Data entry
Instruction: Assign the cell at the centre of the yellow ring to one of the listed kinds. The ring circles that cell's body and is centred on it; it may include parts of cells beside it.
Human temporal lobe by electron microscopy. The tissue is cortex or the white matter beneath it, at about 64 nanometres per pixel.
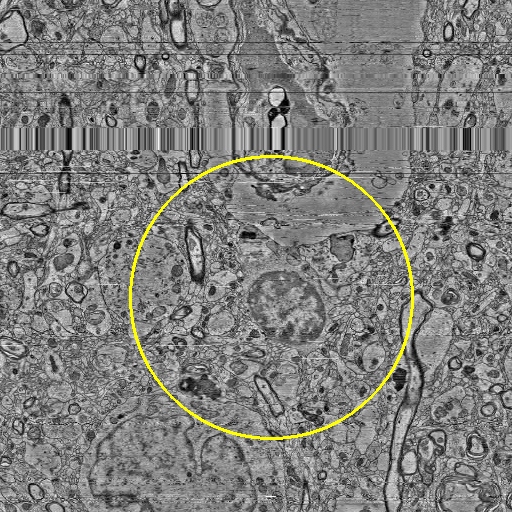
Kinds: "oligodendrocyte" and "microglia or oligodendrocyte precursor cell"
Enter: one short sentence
The centre of the ring falls on an oligodendrocyte.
